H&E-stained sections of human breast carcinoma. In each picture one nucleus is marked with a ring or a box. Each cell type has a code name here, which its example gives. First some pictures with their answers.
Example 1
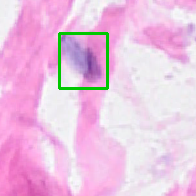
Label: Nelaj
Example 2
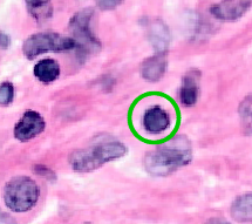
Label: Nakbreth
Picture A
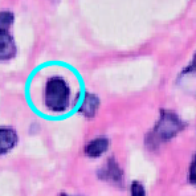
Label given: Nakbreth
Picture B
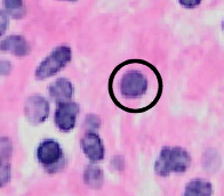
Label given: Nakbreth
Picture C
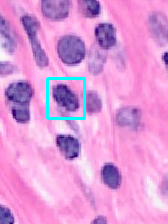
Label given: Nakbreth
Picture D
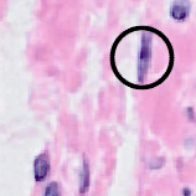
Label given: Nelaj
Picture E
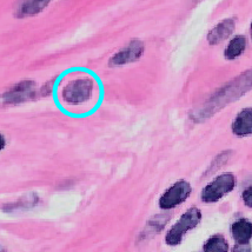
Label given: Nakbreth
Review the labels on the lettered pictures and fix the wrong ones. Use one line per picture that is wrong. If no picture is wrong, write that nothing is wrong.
All labels are correct.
